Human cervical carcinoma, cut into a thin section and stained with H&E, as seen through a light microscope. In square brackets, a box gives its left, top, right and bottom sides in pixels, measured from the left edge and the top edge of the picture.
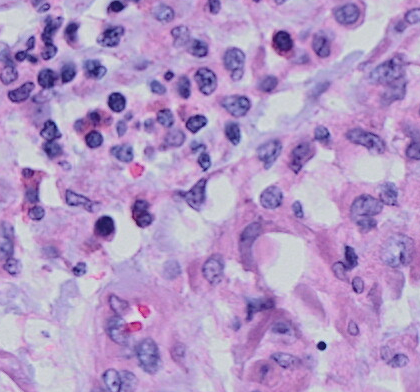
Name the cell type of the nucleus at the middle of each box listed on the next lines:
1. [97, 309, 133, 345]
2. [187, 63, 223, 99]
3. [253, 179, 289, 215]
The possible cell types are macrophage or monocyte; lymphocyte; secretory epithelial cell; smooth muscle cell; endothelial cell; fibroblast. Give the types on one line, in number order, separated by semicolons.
endothelial cell; lymphocyte; macrophage or monocyte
